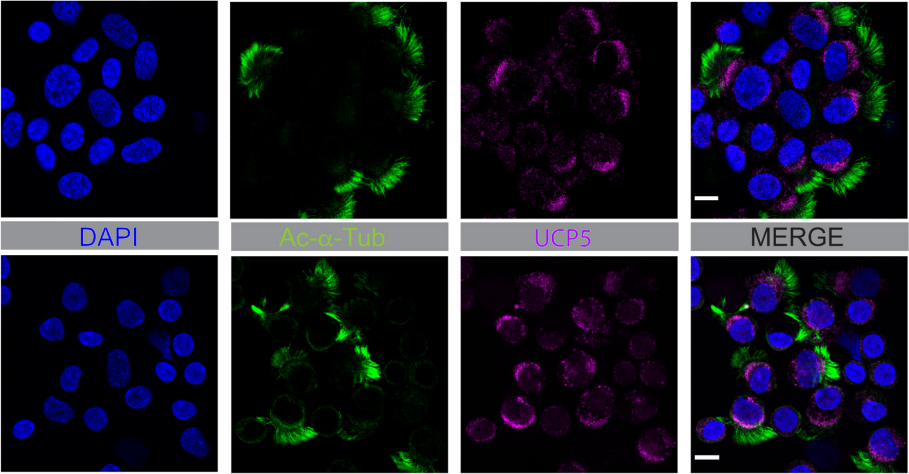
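On one side of many cells a dense tuft of fine, parallel green filaments fans outward, forming the ciliary brush. The magenta signal is granular and gathers in the cytoplasm, most densely in a crescent on the side of the nucleus that faces the green tuft. Cells without a green tuft show fainter, more scattered magenta granules around the nucleus. In the merged views the magenta crescent lies between the nucleus and the base of the cilia.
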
